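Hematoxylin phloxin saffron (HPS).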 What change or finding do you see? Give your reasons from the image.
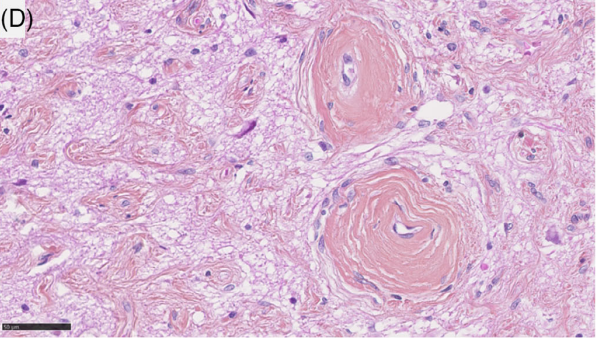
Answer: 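Two vessels have thick, concentric, layered pink fibrous walls. The fibrous rings hold very few nuclei. Loose pale parenchyma lies around the vessels. That points to this answer: fibrous spread along the Virchow‐Robin spaces.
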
